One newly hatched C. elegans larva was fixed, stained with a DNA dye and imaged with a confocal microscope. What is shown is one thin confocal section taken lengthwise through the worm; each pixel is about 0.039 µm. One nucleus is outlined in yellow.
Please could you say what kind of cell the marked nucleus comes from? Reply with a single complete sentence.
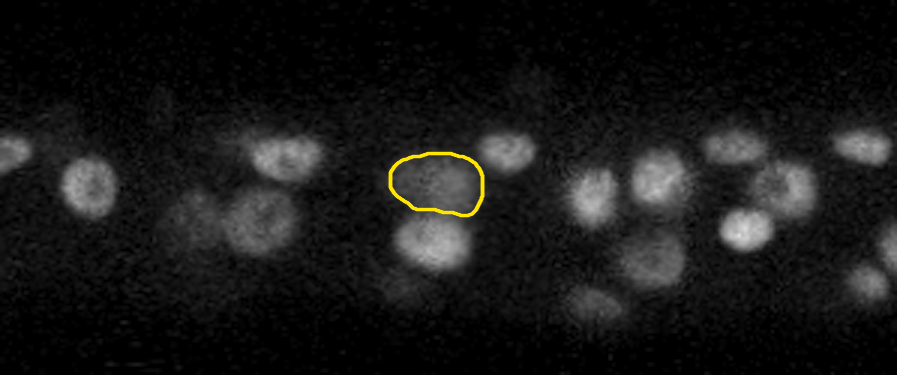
The marked nucleus belongs to a seam cell.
